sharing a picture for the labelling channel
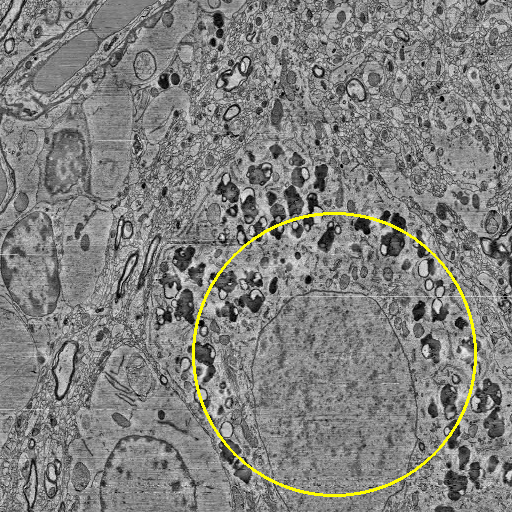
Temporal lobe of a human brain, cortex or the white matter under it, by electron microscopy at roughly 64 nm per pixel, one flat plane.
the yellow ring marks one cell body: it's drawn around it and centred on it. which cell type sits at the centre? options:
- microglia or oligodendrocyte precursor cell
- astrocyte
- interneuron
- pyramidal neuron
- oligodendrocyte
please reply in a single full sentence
In the picture, the cell at the ring's centre is a pyramidal neuron, going by the list.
